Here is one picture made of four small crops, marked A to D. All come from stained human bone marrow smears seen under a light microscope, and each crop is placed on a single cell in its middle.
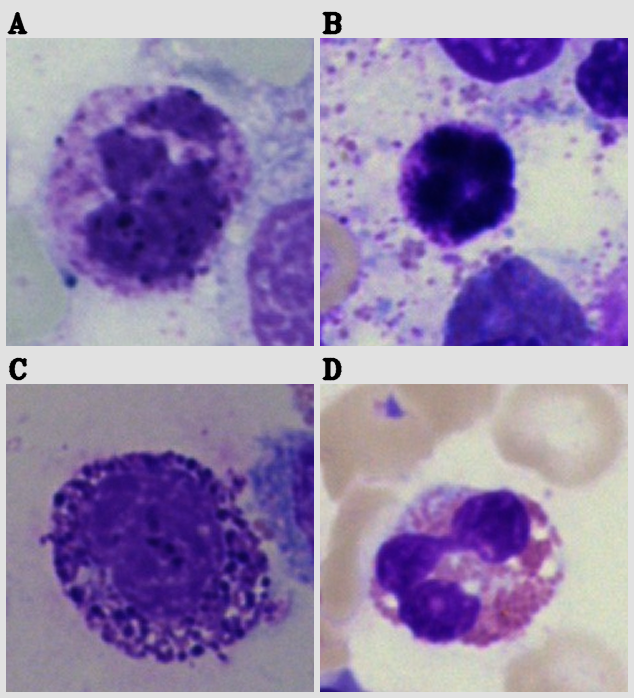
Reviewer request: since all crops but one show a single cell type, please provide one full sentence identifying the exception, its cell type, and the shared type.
Crop D is the different one, an eosinophil, while the rest are basophils.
